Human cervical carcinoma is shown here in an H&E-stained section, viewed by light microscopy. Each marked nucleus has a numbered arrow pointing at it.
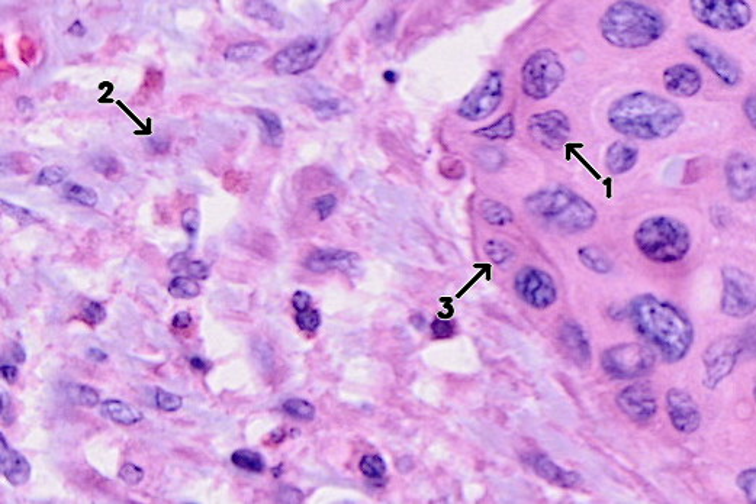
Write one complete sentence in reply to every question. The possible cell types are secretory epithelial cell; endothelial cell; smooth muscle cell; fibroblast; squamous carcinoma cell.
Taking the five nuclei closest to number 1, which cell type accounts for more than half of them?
Around number 1, most of the five nearest nuclei are those of squamous carcinoma cells.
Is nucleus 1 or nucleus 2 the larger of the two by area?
At about 3 times the area of nucleus 2, nucleus 1 is the larger of the two.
